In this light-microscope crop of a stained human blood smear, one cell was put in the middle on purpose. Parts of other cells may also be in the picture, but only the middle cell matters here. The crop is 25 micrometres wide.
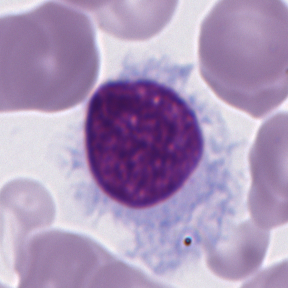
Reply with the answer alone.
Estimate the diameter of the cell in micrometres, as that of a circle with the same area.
15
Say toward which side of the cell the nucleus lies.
upper left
